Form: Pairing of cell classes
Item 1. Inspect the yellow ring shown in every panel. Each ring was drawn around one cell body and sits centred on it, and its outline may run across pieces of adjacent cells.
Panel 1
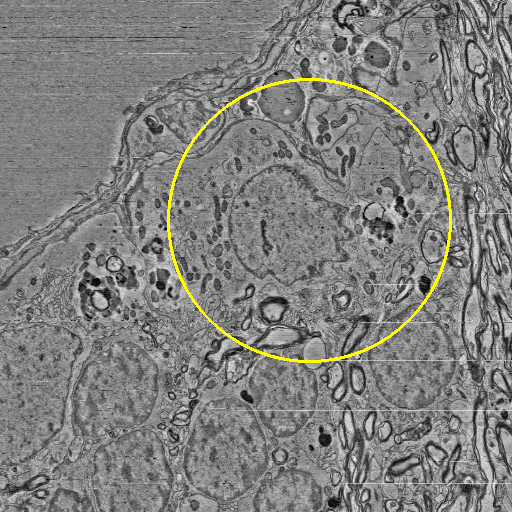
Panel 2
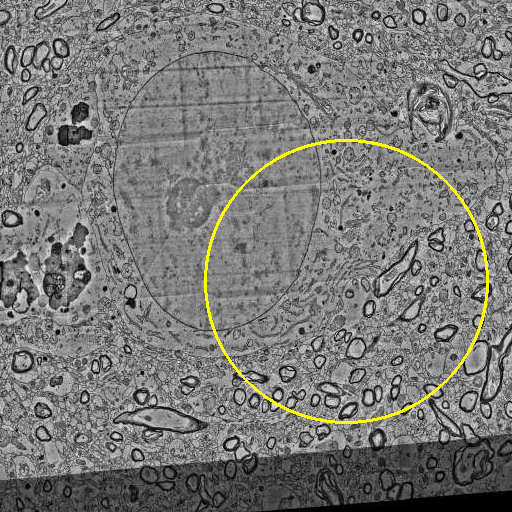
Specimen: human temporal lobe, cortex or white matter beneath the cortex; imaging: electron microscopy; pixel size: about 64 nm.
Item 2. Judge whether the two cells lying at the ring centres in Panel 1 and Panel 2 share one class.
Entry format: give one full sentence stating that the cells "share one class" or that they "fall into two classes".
The cells at the ring centres in Panel 1 and Panel 2 fall into two classes.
